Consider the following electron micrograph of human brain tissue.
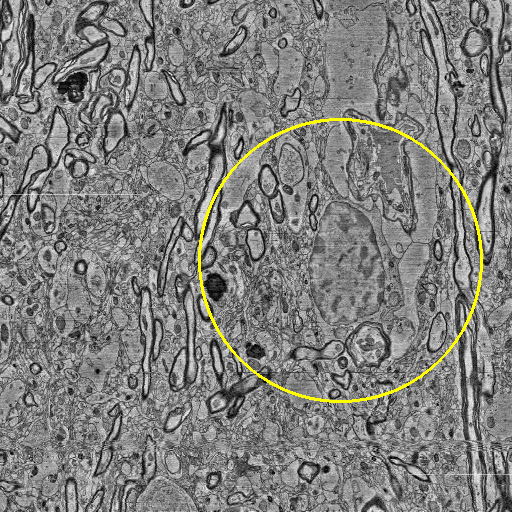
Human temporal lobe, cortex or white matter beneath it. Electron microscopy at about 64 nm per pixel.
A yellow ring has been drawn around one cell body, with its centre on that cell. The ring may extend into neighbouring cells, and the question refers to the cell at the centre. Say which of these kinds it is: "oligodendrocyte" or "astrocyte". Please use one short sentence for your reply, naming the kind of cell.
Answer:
The centre of the ring falls on an oligodendrocyte.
